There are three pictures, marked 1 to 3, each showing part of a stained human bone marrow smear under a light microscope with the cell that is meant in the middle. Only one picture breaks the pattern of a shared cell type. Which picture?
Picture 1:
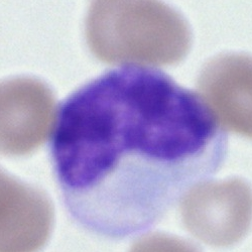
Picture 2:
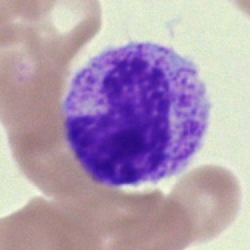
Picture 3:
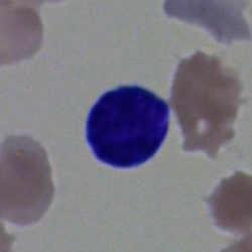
3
